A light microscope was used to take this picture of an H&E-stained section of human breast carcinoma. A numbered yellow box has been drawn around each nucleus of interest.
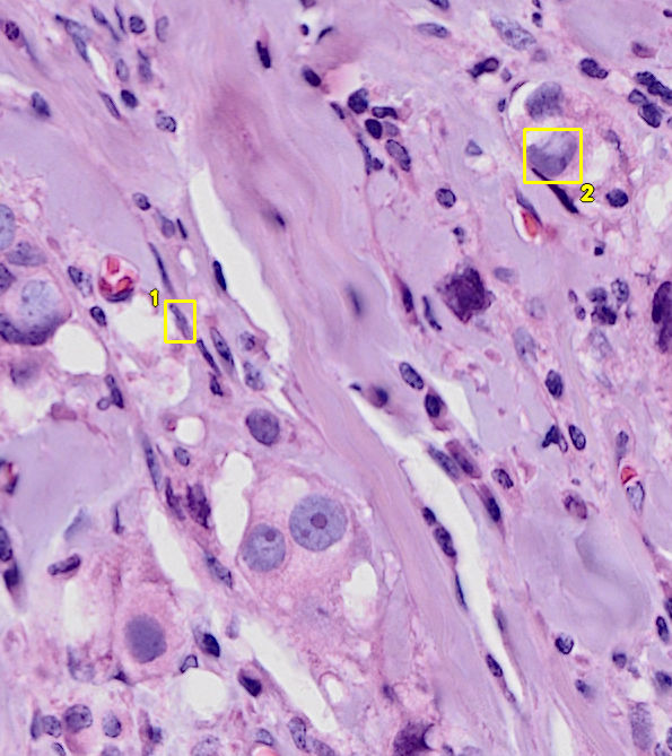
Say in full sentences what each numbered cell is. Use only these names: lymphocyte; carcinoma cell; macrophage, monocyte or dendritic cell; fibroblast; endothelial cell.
Cell 1 is a fibroblast. Cell 2 is a carcinoma cell.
